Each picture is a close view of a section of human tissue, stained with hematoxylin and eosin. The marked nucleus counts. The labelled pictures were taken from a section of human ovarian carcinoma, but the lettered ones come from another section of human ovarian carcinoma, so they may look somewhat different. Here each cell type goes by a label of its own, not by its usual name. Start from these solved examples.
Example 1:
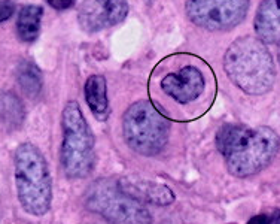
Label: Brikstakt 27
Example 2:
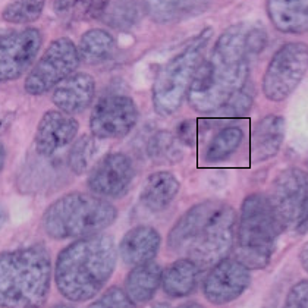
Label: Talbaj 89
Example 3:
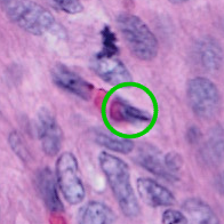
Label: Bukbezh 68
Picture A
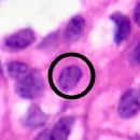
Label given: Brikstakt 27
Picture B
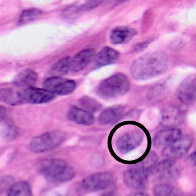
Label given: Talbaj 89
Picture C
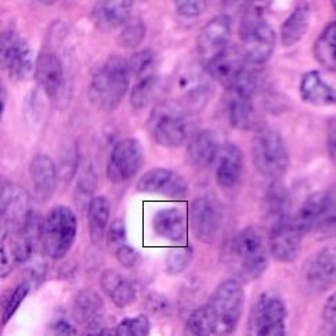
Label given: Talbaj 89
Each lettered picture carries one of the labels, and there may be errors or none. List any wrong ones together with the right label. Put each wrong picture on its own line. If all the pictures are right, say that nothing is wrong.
B: not Talbaj 89 but Brikstakt 27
